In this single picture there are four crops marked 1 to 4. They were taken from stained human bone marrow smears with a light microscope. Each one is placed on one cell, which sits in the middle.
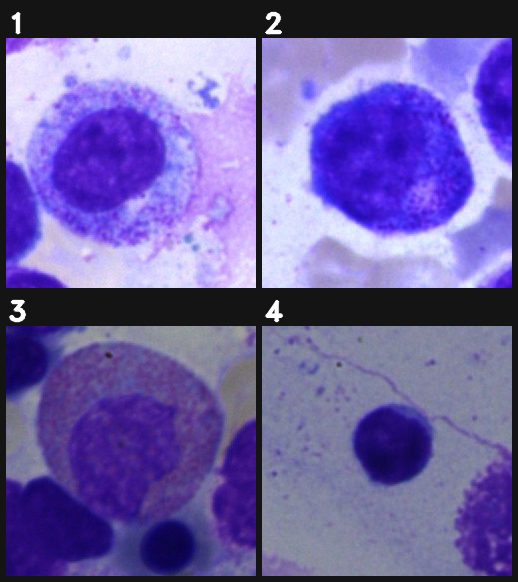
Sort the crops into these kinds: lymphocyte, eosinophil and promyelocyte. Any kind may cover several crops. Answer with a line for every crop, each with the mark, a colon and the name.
1: promyelocyte
2: promyelocyte
3: eosinophil
4: lymphocyte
